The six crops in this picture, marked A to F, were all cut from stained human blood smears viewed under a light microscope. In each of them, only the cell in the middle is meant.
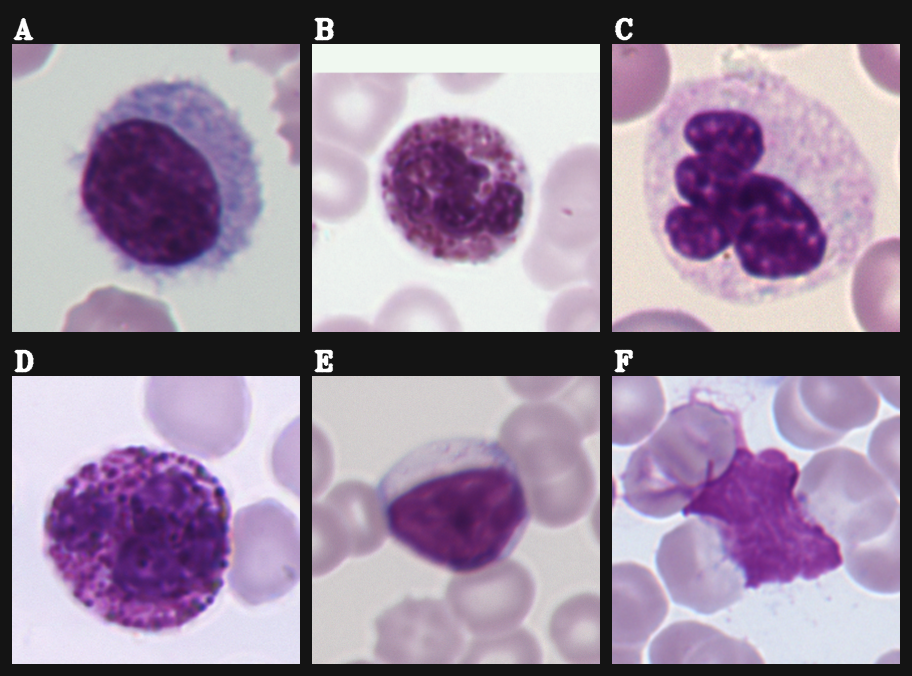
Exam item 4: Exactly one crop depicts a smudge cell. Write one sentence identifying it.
Of the labeled crops, the one with a smudge cell is crop F.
